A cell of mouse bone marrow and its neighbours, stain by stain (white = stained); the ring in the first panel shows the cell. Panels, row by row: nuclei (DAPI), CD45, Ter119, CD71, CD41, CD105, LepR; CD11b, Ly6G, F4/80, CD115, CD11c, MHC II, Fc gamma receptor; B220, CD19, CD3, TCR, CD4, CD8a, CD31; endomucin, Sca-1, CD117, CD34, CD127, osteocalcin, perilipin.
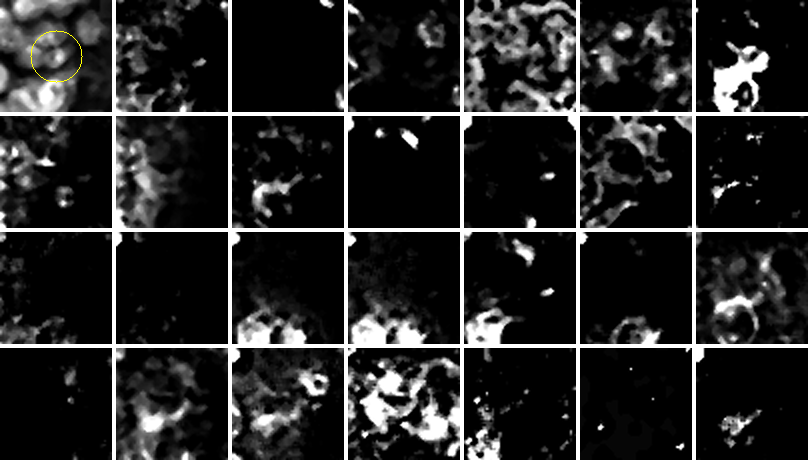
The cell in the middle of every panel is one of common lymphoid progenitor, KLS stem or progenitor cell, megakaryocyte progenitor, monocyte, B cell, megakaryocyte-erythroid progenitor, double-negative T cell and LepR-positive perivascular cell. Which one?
KLS stem or progenitor cell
